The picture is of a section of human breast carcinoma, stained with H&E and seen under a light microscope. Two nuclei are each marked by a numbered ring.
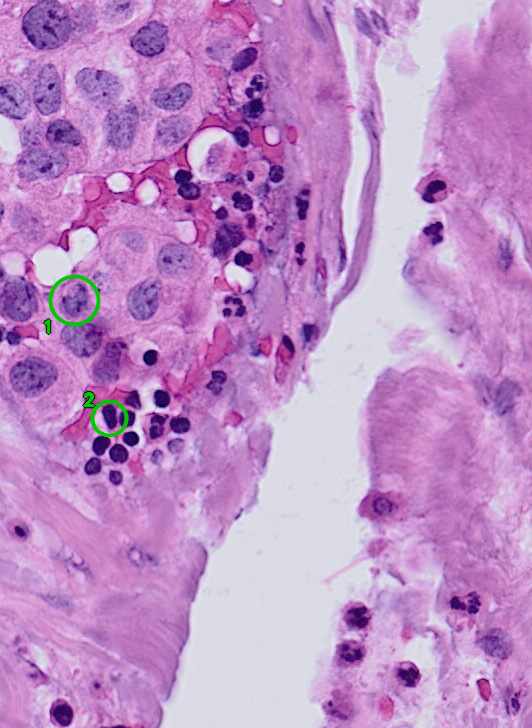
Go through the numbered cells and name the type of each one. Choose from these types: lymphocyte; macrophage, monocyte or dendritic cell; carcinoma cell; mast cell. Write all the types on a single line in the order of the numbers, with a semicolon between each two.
carcinoma cell; lymphocyte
